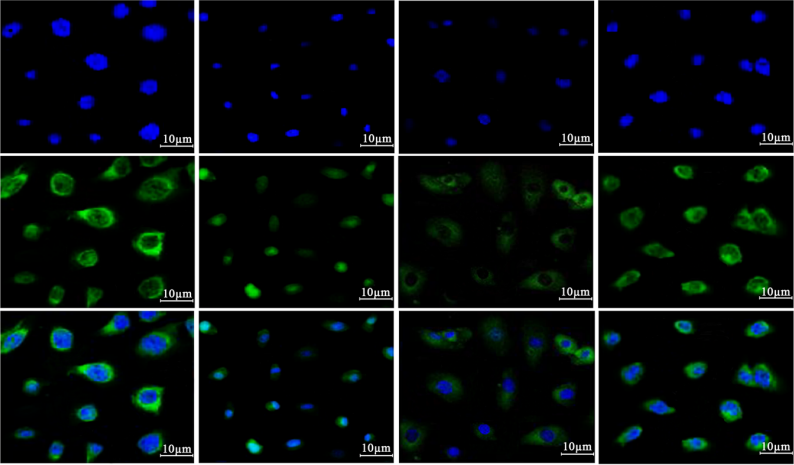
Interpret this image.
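In the first and fourth columns the green fills the cytoplasm of the rounded to polygonal cells as a bright rim around a darker centre, and the blue nucleus sits inside that rim. In the second column the cells and nuclei look smaller, and the green is gathered into compact spots that lie over the nuclei, so the merged nuclei look cyan. In the third column the green is fainter and spread thinly through the cytoplasm, again leaving the nuclear region darker.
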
